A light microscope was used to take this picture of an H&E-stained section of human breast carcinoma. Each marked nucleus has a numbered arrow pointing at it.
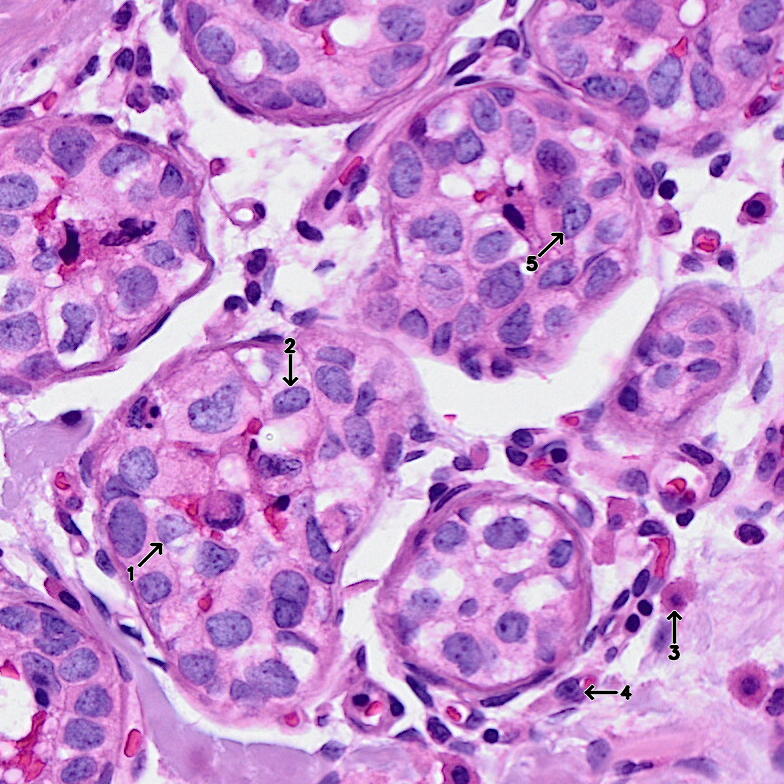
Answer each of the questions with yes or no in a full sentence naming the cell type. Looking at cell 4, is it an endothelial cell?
Yes, the number 4 belongs to an endothelial cell.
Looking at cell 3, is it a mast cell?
Yes, cell number 3 is identified here as a mast cell.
